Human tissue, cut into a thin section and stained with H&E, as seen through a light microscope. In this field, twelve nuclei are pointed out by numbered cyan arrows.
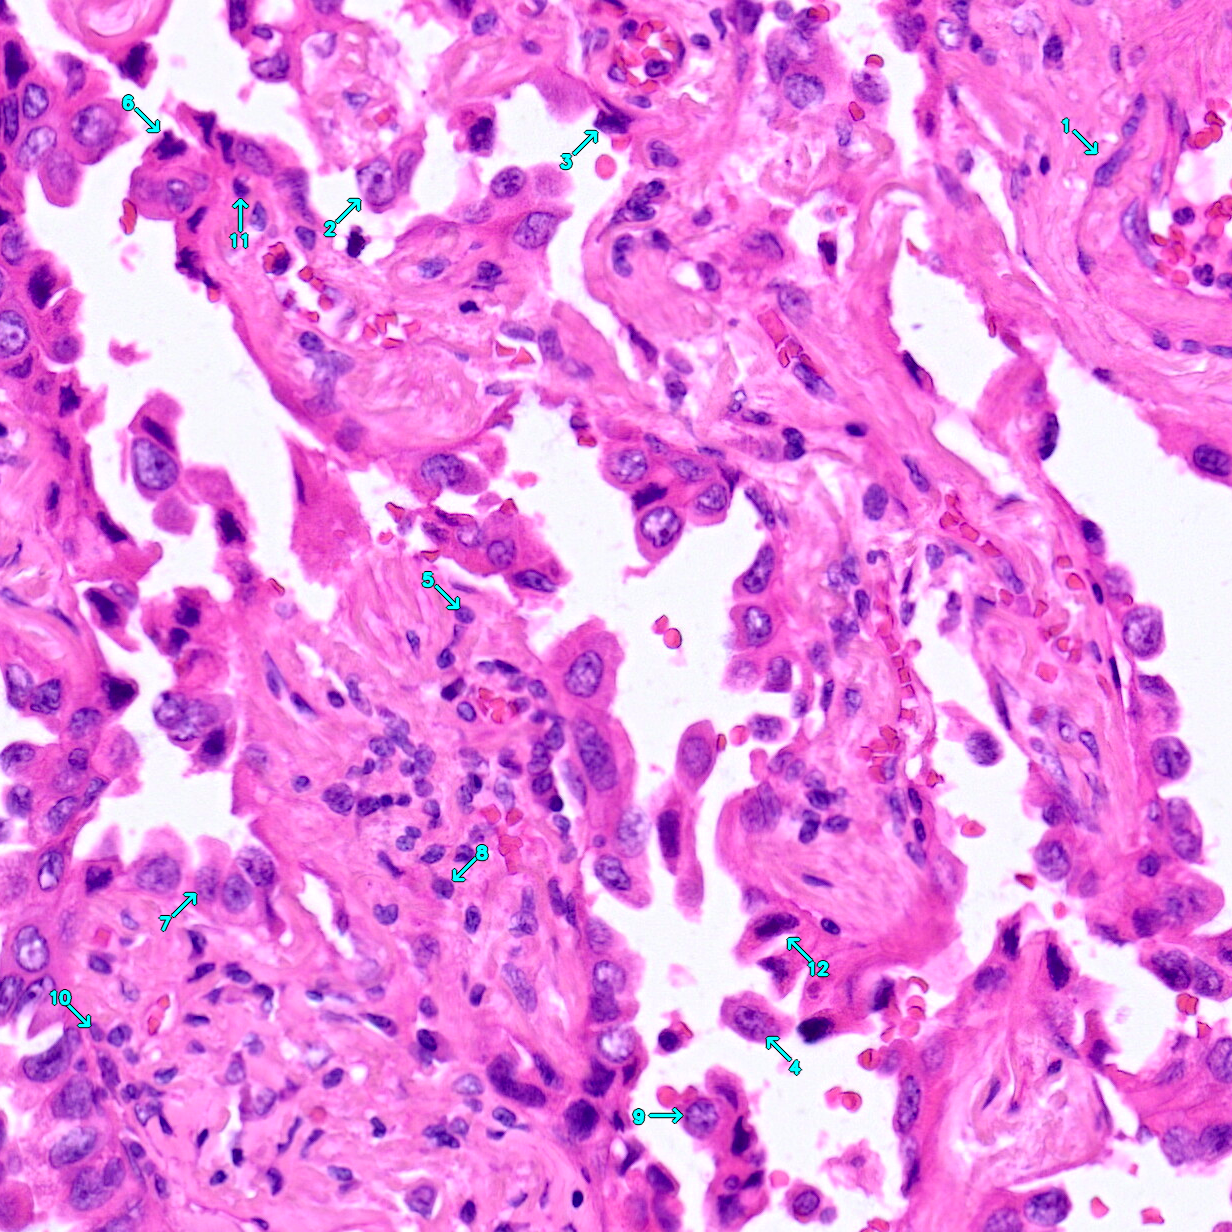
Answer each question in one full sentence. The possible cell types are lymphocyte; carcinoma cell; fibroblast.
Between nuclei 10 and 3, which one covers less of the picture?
Nucleus 10 covers less area, with nucleus 3 about 4 times as large.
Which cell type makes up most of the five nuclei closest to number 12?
Of the five nuclei nearest to number 12, most belong to carcinoma cells.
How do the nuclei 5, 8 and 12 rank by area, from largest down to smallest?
Going from the biggest nucleus down to the smallest gives 12, 8, 5.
